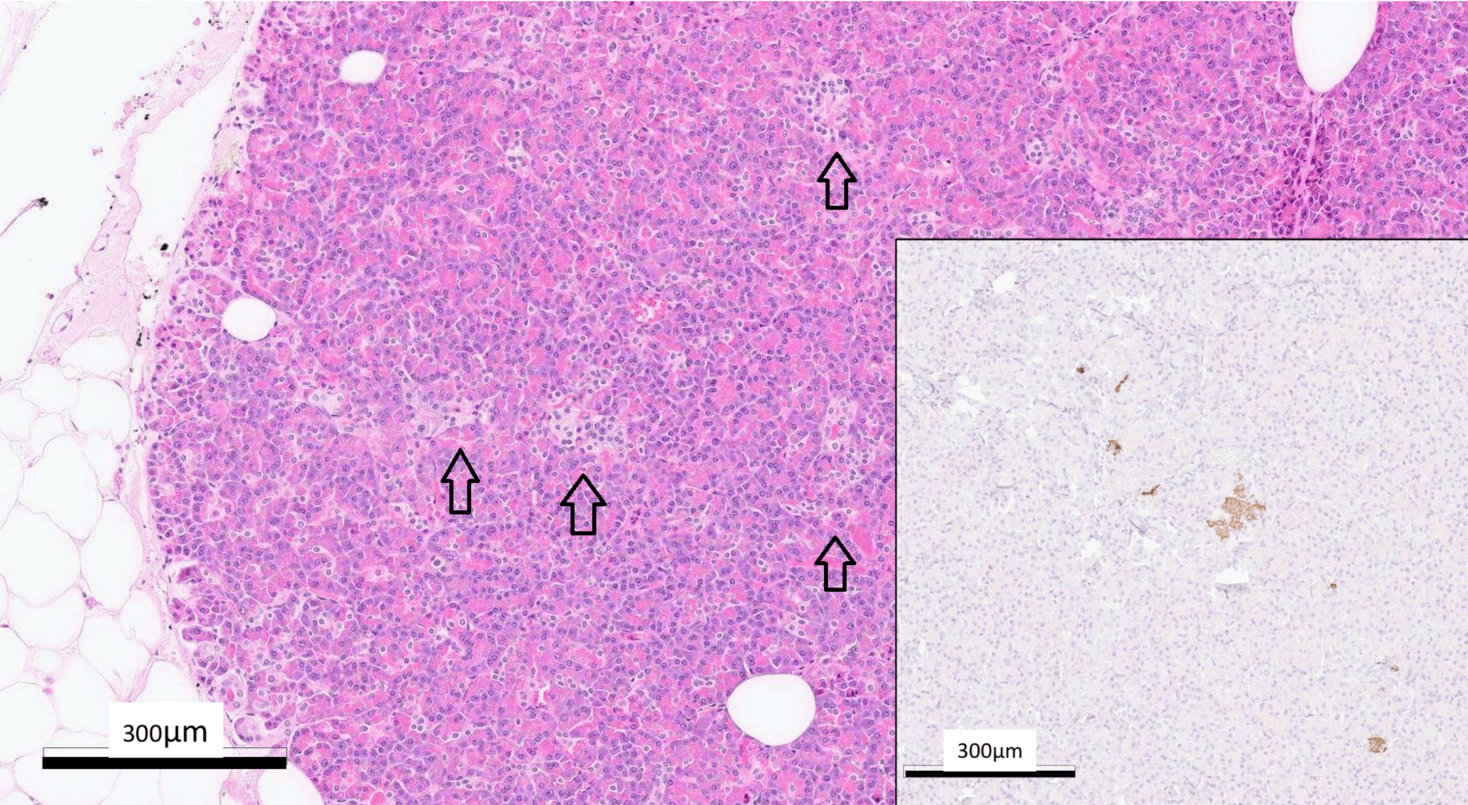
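This is pancreatic tissue, and most of the field is filled with densely packed glandular cells. Their cytoplasm stains strongly pink, and their small round nuclei stain purple. Scattered among them are a few small, rounded groups of paler cells; these are the islets of Langerhans. Along the left edge lies loose connective tissue with large, clear, empty-looking fat cells. Several round, clear spaces are seen within the gland. In the inset, the same kind of tissue shows brown staining only in a few small scattered clusters.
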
